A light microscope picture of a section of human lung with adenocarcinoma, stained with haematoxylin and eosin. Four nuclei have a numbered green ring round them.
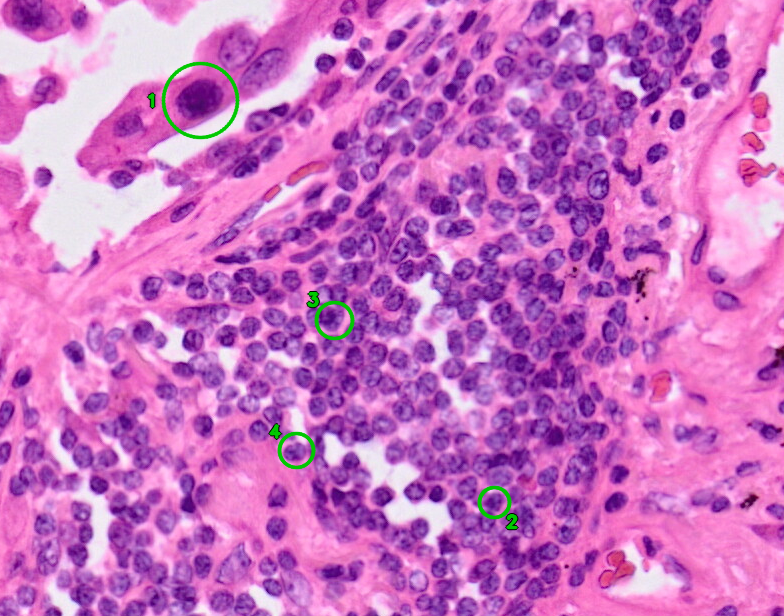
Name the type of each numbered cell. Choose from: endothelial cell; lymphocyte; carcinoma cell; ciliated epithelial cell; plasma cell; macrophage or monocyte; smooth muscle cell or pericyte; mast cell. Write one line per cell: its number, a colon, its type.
1: carcinoma cell
2: lymphocyte
3: lymphocyte
4: lymphocyte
